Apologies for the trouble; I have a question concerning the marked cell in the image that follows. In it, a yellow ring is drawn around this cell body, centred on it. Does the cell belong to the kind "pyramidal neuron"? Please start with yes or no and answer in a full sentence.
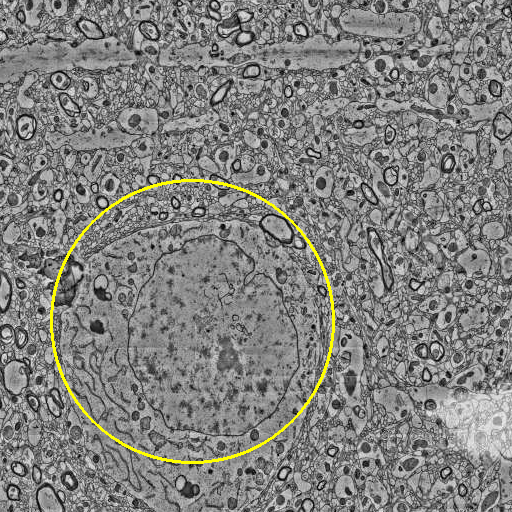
Yes, the cell at the centre of the ring in the picture is of that kind.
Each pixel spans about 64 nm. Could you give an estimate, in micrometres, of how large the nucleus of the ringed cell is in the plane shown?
The nucleus has a long axis of about 13 micrometres and a short axis of about 11 micrometres in this plane.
